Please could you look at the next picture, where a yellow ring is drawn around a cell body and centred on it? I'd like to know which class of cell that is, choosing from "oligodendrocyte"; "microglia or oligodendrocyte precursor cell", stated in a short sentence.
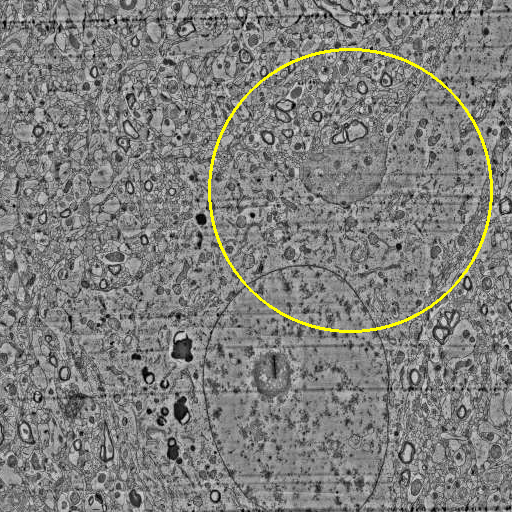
The ring's centre lies on an oligodendrocyte.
